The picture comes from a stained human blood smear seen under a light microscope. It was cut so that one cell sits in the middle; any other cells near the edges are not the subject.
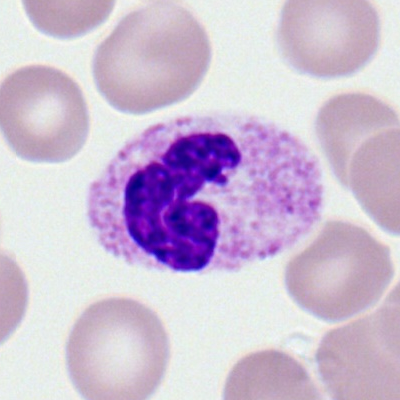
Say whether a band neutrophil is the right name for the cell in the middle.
yes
